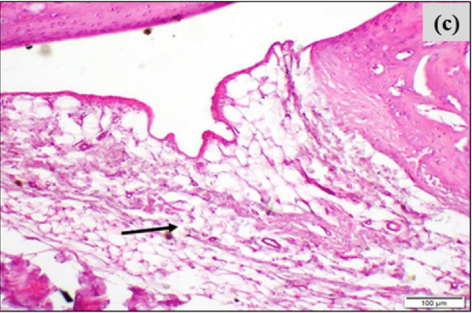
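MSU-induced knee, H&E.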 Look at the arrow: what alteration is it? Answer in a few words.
edema of synovial membrane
